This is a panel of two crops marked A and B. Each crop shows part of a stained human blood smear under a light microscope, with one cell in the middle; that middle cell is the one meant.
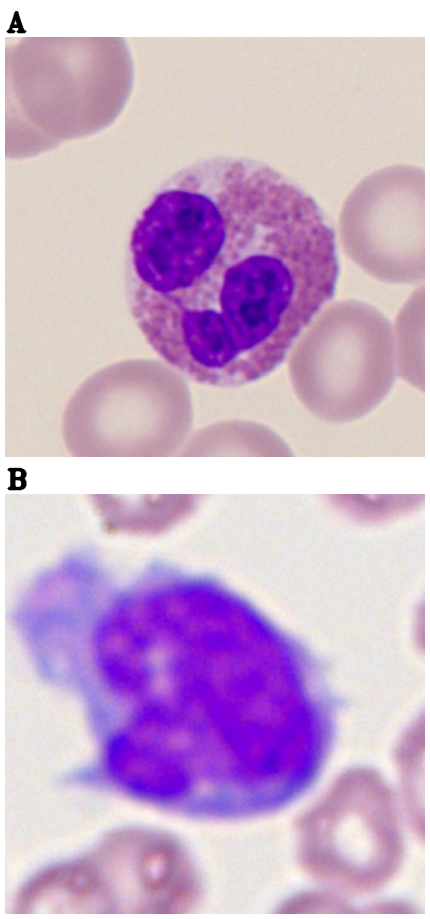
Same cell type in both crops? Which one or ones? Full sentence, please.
No, for crop A the cell is an eosinophil, and for crop B it is a monocyte.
